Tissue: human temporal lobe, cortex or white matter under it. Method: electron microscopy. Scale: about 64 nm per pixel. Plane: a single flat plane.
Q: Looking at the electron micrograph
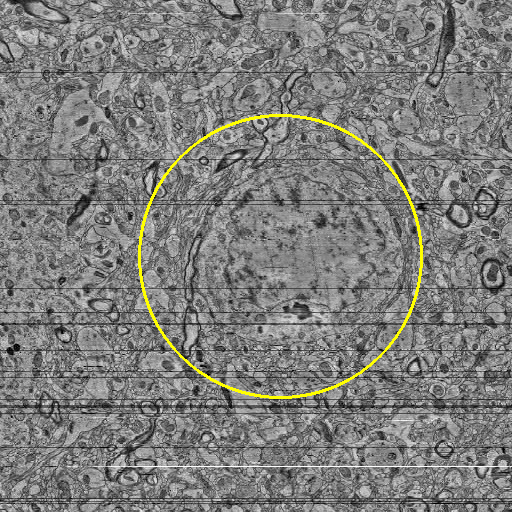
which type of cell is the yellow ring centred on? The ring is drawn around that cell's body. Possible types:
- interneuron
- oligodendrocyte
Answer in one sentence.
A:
The yellow ring is centred on an interneuron.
